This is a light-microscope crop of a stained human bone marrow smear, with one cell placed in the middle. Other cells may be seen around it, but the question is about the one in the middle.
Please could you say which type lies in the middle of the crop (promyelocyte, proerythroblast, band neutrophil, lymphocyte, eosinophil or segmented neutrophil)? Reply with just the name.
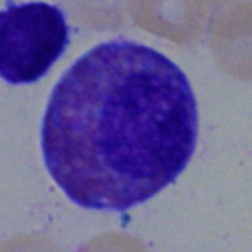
eosinophil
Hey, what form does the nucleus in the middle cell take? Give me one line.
The cell carries one compact nucleus shaped round, oval or like a kidney.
